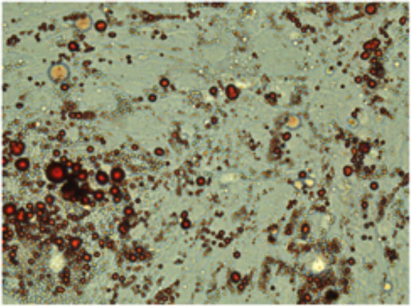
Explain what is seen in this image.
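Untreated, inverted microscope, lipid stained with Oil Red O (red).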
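The pale greenish background holds flattened, elongated cells whose borders are only faintly visible. Red, round droplets of many sizes are spread across the field: small brownish-red ones gather in irregular patches and streaks, and larger glossy red spheres appear singly or in groups. At the left edge a cluster of big droplets lies together with a darker mass among them, marking cells laden with fat. Several pale, unstained or yellowish round bodies are also scattered through the field.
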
